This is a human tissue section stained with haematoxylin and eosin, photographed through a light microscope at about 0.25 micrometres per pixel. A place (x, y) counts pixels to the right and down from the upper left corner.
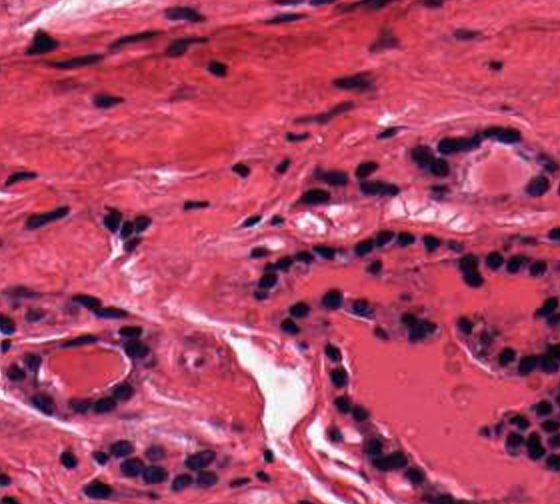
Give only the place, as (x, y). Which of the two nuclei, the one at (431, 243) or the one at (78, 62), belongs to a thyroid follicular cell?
(431, 243)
